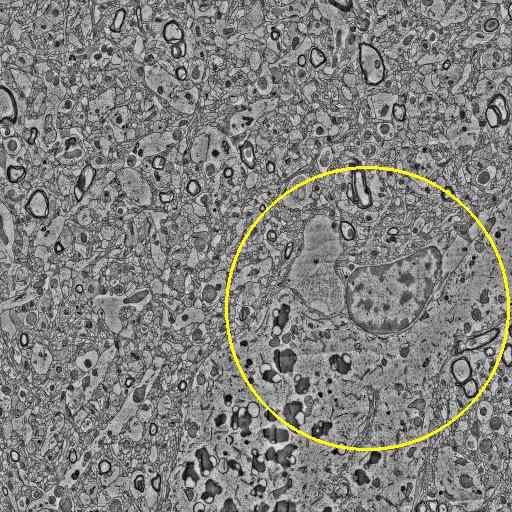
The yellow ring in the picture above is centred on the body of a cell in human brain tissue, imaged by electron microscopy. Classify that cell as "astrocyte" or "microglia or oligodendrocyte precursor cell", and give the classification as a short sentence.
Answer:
The cell in the middle of the ring is a microglial cell or oligodendrocyte precursor cell.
